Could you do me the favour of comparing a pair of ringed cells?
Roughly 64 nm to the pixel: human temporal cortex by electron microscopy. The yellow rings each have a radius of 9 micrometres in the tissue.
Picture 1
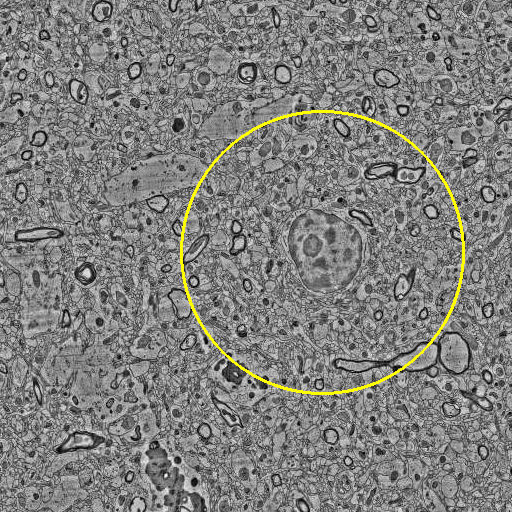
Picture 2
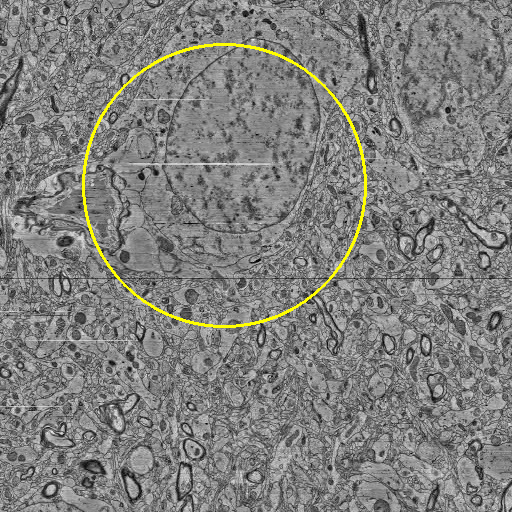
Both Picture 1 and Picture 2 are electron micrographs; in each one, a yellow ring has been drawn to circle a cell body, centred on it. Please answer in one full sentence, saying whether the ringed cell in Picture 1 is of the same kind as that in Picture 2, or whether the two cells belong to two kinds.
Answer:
The ringed cells in Picture 1 and Picture 2 belong to two kinds.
